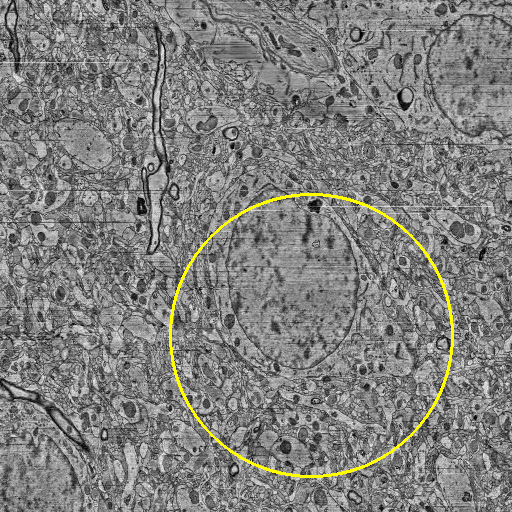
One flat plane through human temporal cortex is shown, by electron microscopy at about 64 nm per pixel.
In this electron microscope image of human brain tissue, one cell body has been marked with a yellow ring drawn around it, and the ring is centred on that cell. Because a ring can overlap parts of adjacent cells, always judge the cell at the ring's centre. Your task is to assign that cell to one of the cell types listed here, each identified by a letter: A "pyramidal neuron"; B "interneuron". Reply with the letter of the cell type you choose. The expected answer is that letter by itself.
A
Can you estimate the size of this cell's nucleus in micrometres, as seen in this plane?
In this plane, about 12 micrometres in length and 8 in width.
